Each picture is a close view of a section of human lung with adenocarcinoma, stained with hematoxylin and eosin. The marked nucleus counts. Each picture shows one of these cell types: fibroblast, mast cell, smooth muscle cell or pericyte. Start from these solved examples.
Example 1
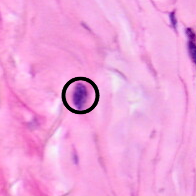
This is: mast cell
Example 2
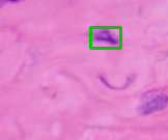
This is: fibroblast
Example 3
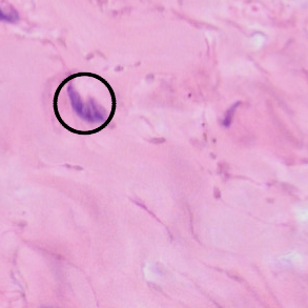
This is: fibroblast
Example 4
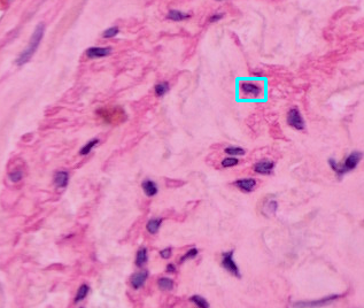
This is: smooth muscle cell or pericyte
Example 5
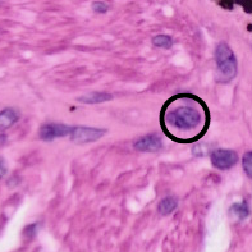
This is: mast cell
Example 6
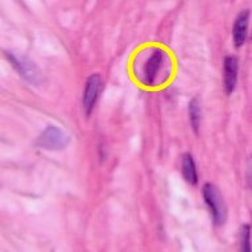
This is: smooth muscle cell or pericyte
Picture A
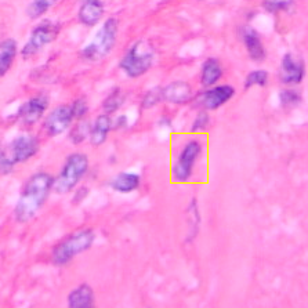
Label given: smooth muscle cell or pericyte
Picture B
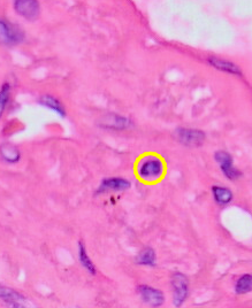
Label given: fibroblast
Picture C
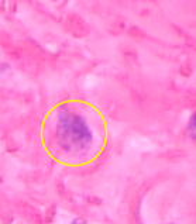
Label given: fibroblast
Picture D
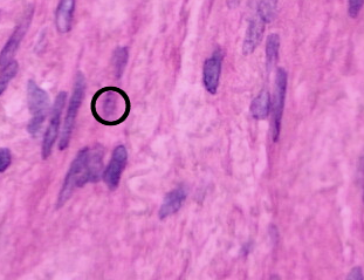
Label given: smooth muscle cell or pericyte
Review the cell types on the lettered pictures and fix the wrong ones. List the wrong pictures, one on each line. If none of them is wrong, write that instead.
A is labelled smooth muscle cell or pericyte; correct label: mast cell
B is labelled fibroblast; correct label: mast cell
